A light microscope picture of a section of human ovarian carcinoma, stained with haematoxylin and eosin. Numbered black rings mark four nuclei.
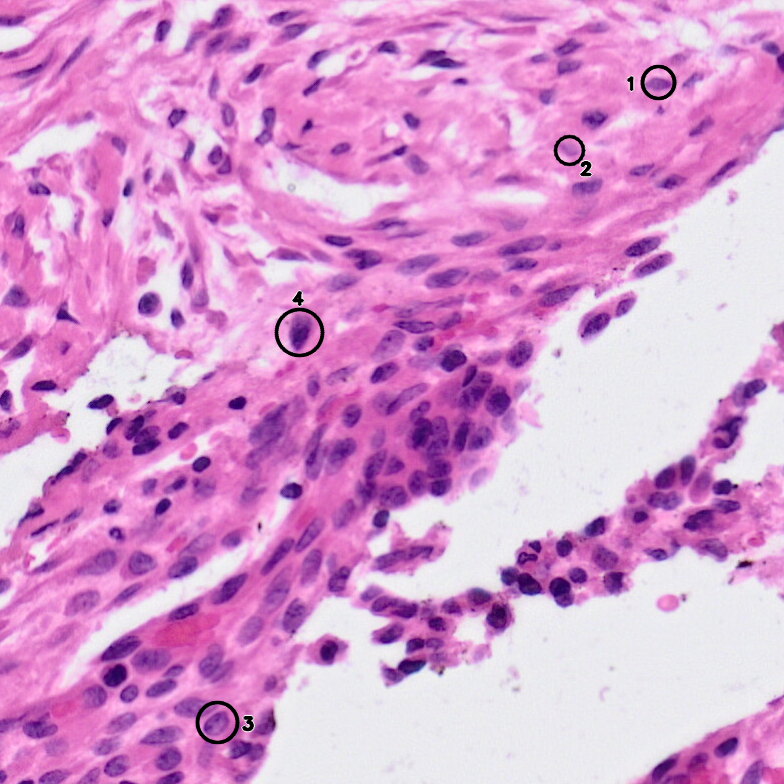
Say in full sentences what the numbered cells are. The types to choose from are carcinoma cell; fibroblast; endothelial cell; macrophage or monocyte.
Cells 1, 2 and 4 are fibroblasts. Cell 3 is a macrophage or monocyte.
